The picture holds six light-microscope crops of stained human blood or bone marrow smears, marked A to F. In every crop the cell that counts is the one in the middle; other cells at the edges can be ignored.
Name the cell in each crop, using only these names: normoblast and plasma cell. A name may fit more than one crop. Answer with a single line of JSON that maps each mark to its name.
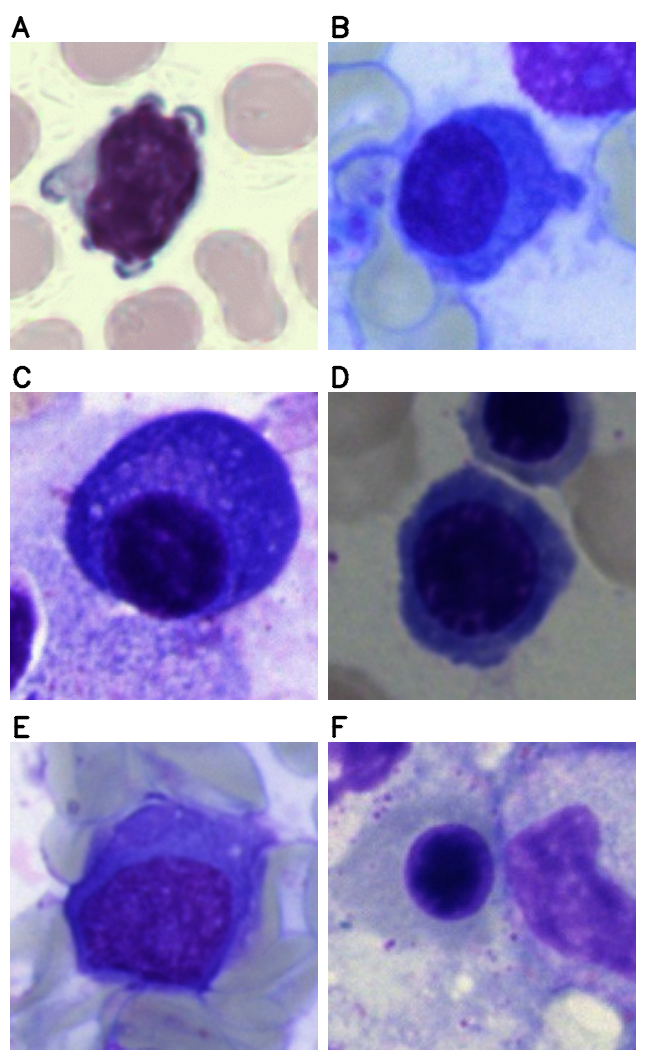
{"A": "plasma cell", "B": "plasma cell", "C": "plasma cell", "D": "normoblast", "E": "plasma cell", "F": "normoblast"}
